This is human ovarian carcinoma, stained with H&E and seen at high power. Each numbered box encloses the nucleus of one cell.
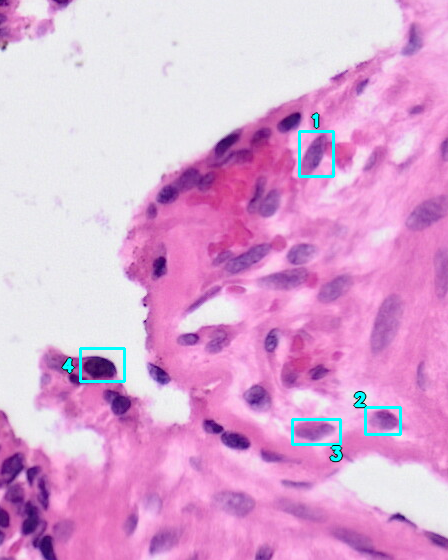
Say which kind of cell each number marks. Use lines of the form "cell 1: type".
cell 1: fibroblast
cell 2: fibroblast
cell 3: fibroblast
cell 4: carcinoma cell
